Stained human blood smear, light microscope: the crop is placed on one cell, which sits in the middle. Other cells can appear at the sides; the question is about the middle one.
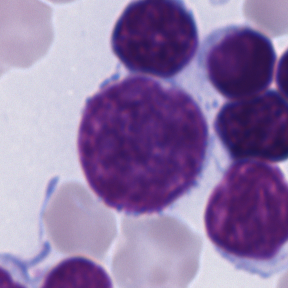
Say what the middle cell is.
blast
